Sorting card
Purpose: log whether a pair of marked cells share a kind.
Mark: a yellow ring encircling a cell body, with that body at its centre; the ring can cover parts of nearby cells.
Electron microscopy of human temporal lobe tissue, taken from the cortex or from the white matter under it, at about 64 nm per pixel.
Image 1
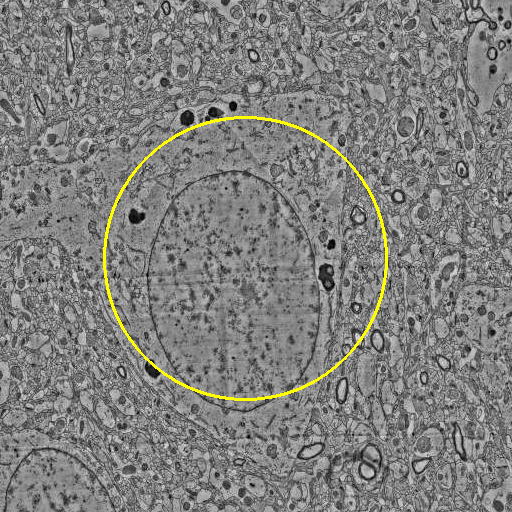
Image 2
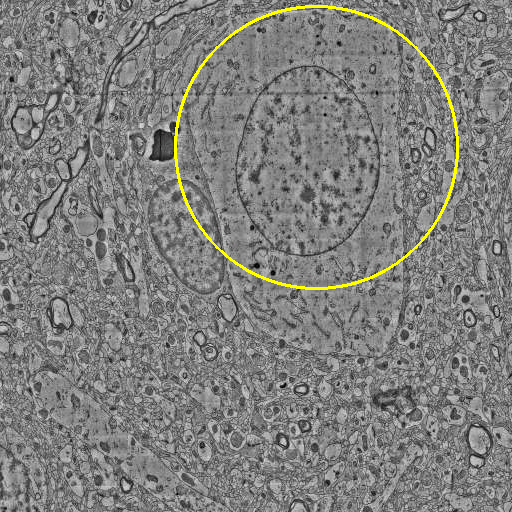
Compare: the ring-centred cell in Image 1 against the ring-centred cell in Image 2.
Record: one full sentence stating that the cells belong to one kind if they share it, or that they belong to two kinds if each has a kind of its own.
Across Images 1 and 2, the two ring-centred cells belong to one kind.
